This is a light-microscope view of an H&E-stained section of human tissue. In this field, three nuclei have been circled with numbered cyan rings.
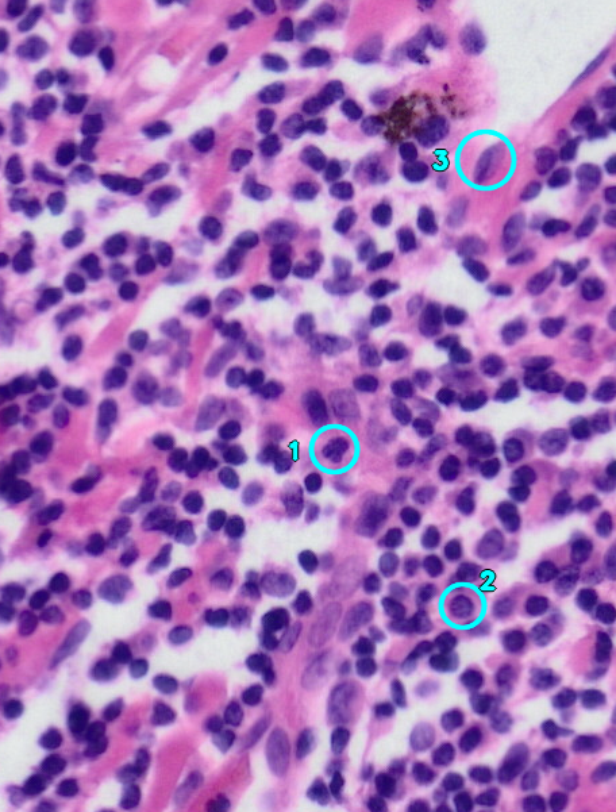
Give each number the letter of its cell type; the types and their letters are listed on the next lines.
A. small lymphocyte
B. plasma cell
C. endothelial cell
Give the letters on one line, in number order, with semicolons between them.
C; B; C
